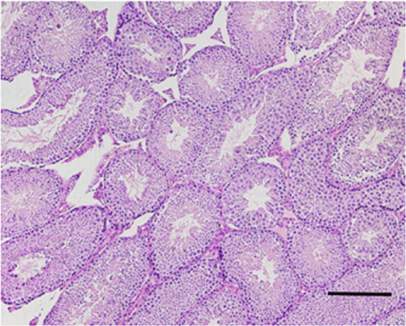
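This testis section is made up of closely packed round and oval tubules seen in cross-section, separated by narrow clefts and thin pink strands. Their walls consist of several layers of cells with purple nuclei, surrounding a pale pink, feathery central space. Some of the gaps between tubules appear as clear white spaces. Overall it shows the layered tubular architecture of the testis.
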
